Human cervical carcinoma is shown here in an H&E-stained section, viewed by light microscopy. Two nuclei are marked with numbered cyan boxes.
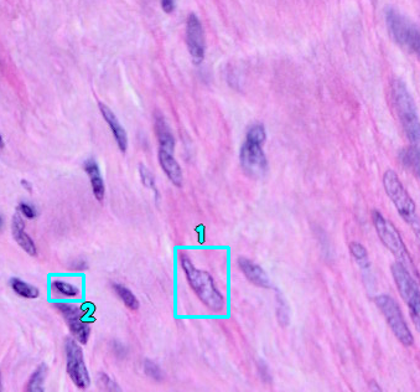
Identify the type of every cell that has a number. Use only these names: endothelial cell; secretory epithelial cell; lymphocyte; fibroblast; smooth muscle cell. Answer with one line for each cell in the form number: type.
1: smooth muscle cell
2: fibroblast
